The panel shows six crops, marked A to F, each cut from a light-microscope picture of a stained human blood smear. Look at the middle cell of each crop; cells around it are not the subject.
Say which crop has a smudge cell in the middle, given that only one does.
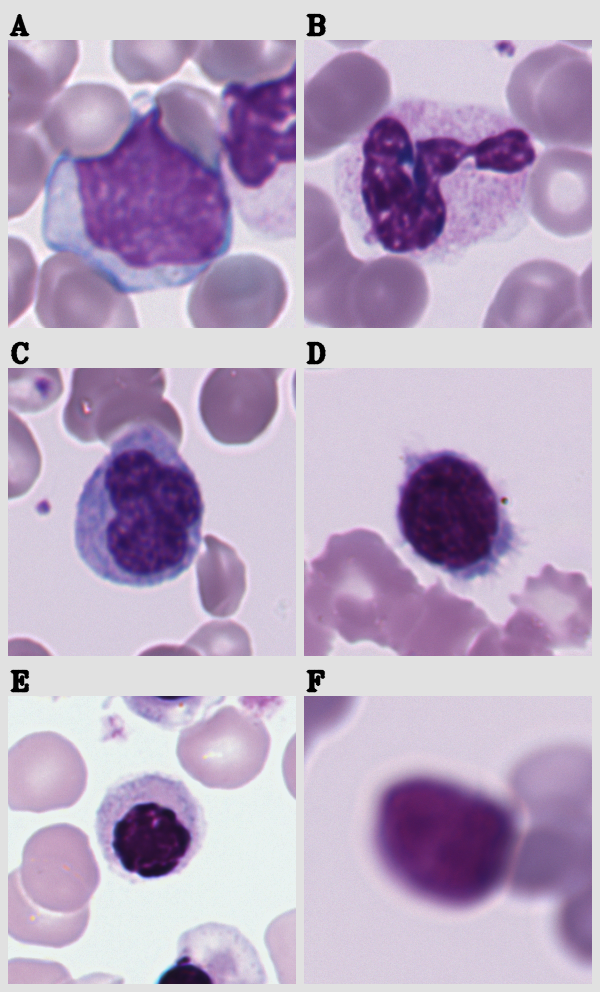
F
